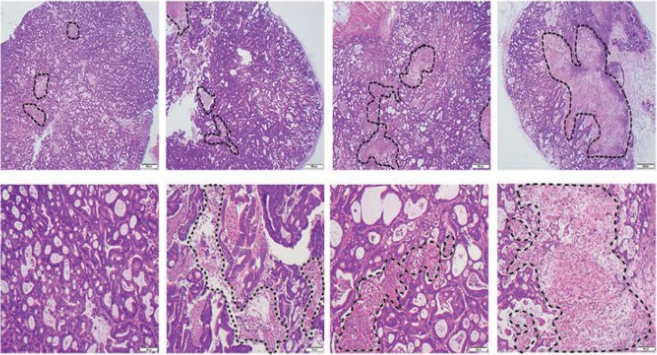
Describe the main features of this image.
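These are sections of a glandular tumor stained with hematoxylin and eosin, seen at low magnification in the upper row and higher magnification in the lower row. Most of the tissue is made of crowded glands lined by cells with dark purple nuclei, many enclosing round open lumens. Within the dotted outlines the gland pattern breaks down into pale pink, amorphous material with few intact nuclei, the look of necrosis. The outlined areas are small in some sections and occupy large parts of others.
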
